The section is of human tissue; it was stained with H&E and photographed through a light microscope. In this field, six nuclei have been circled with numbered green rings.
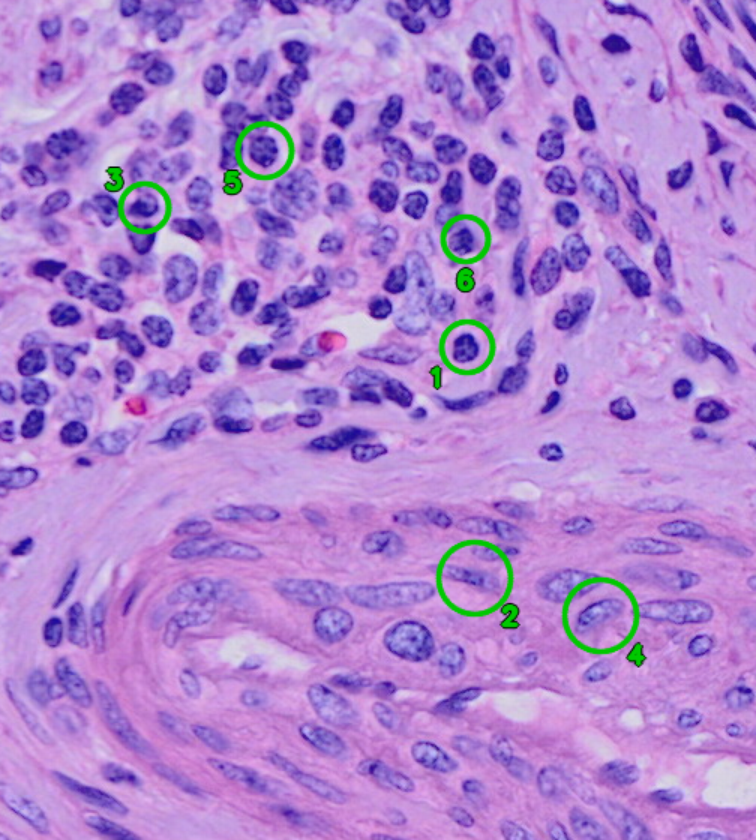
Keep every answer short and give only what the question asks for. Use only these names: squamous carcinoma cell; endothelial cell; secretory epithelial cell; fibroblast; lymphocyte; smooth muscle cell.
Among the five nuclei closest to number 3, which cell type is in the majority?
lymphocyte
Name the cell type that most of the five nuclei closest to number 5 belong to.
lymphocyte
